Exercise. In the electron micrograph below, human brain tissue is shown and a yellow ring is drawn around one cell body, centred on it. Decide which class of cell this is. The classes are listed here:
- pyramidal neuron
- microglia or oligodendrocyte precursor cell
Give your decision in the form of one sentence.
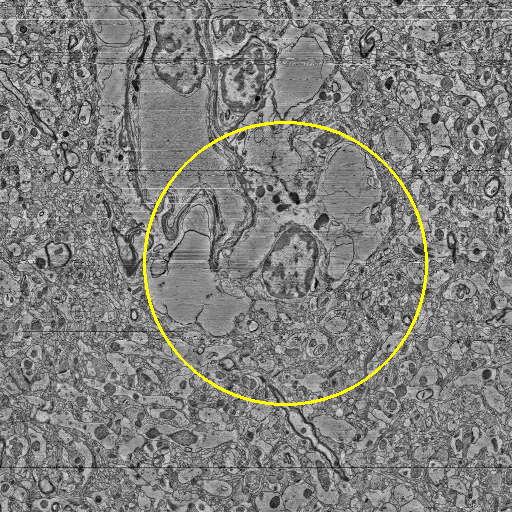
The cell body marked by the ring belongs to a microglial cell or oligodendrocyte precursor cell.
